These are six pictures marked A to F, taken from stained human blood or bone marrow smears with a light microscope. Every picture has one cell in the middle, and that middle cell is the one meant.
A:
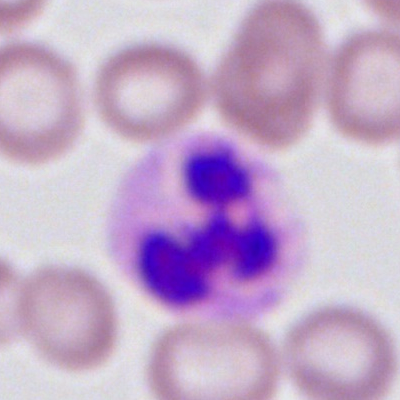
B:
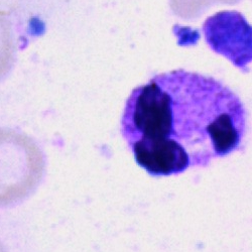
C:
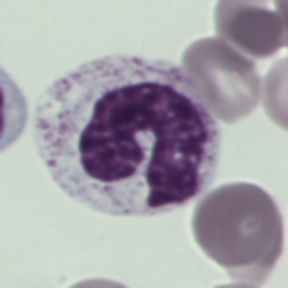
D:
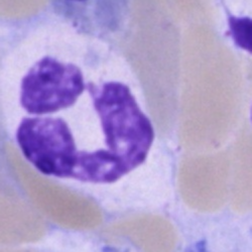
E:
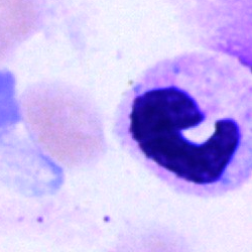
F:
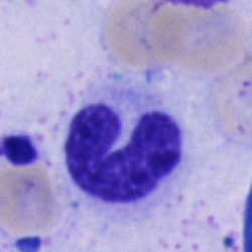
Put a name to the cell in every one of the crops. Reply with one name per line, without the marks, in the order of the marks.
segmented neutrophil
segmented neutrophil
band neutrophil
segmented neutrophil
band neutrophil
band neutrophil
